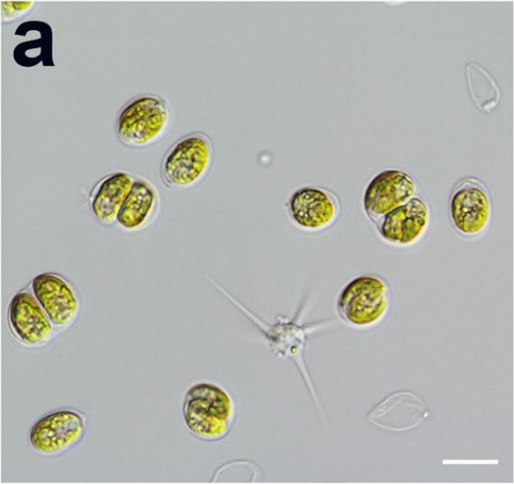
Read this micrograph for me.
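A small radiate amoeba lies among oval green algal cells. Several long, very thin, straight pseudopodia extend from it in different directions, giving a star-like outline. The surrounding algal cells are oval with smooth walls and granular yellow-green contents. A few empty, colourless, pointed wall remnants are also scattered in the field.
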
